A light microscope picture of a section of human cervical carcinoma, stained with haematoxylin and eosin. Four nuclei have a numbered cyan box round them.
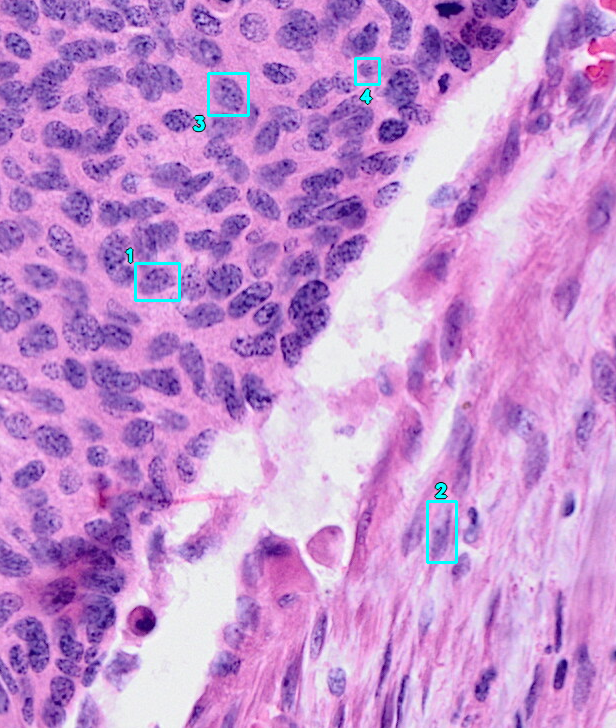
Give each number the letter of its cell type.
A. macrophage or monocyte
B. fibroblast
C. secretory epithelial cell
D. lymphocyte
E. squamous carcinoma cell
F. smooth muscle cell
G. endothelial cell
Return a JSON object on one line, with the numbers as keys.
{"1": "E", "2": "B", "3": "E", "4": "E"}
